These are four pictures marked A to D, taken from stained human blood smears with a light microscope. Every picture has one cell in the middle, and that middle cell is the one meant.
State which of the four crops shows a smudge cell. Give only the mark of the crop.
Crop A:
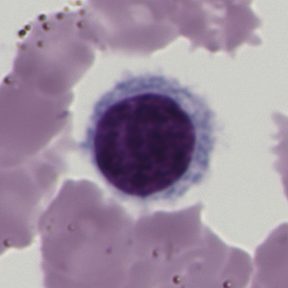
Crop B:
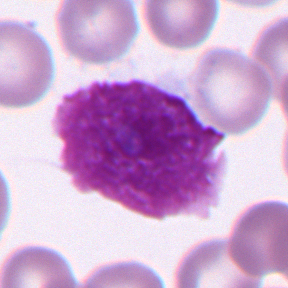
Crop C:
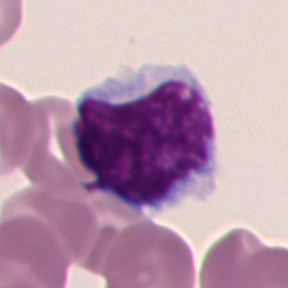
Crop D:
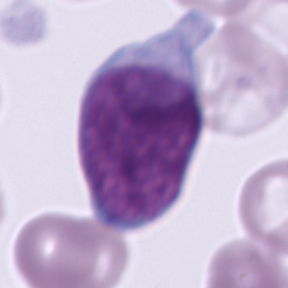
B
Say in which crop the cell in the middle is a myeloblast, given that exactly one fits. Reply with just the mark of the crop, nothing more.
D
